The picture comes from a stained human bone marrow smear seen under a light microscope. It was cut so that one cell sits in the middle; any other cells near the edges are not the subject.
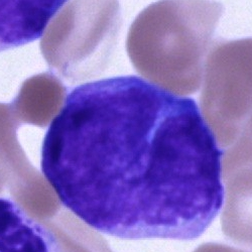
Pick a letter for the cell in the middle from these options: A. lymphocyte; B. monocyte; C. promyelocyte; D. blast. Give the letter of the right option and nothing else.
D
